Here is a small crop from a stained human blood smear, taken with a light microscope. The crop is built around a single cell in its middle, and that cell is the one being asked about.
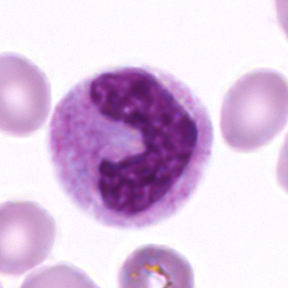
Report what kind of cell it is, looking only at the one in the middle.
band neutrophil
